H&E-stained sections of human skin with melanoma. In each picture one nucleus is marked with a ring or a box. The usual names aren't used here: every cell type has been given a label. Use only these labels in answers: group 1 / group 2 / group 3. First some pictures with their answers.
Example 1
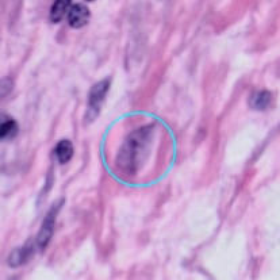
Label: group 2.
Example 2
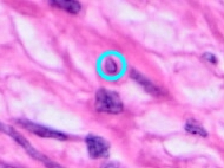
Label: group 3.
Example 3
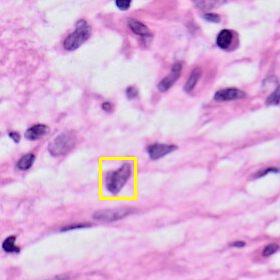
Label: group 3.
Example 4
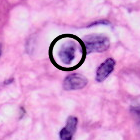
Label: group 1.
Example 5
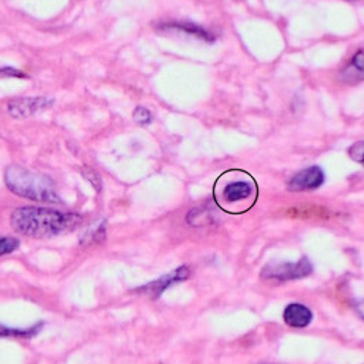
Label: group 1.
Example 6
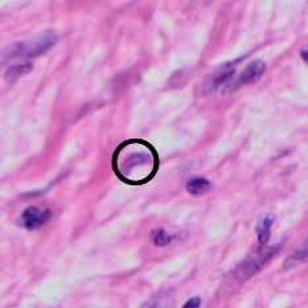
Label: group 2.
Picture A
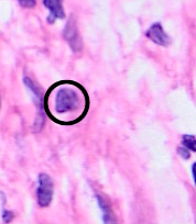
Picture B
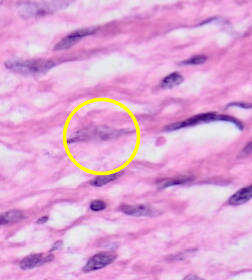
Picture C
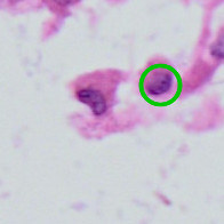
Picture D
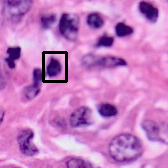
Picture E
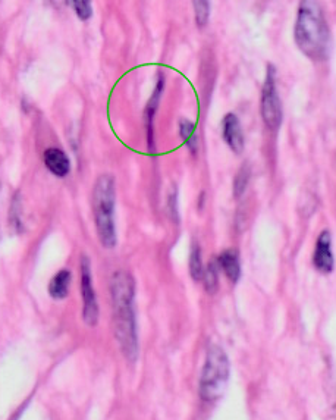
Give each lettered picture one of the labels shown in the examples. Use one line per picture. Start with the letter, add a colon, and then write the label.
A: group 1.
B: group 2.
C: group 3.
D: group 1.
E: group 2.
